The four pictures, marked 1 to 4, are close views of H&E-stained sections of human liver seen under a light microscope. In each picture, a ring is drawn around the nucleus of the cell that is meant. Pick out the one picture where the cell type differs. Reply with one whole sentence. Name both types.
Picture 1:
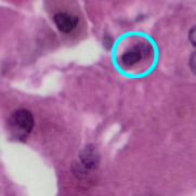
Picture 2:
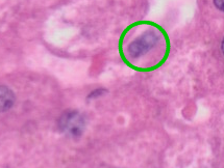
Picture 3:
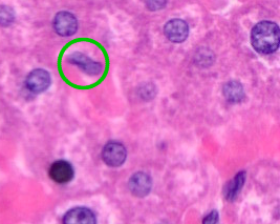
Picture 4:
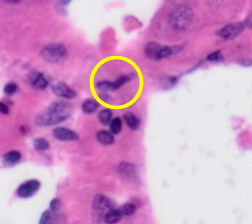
Unlike the rest, which show Kupffer cells, picture 4 shows a “fibroblast or stellate cell”.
